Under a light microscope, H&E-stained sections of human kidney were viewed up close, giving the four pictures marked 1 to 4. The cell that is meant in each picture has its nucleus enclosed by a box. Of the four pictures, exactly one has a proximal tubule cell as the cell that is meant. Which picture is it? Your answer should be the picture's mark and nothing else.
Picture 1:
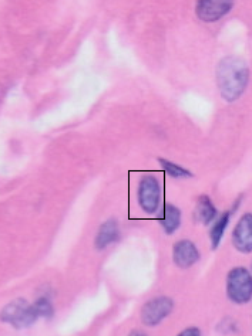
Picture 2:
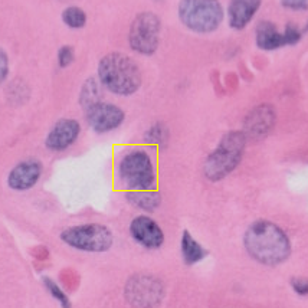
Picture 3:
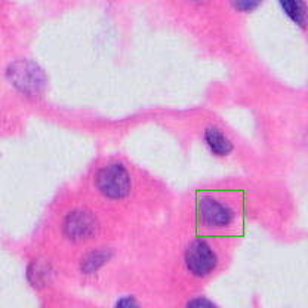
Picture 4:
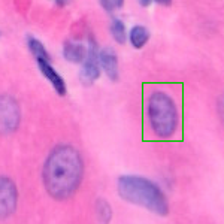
4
